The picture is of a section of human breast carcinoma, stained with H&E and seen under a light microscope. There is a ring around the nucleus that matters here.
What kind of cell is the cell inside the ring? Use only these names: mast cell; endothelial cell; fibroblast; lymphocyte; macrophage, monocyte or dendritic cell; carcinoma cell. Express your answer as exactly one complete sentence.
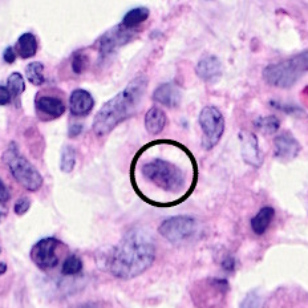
By its classification, the cell inside the ring is a macrophage, monocyte or dendritic cell.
